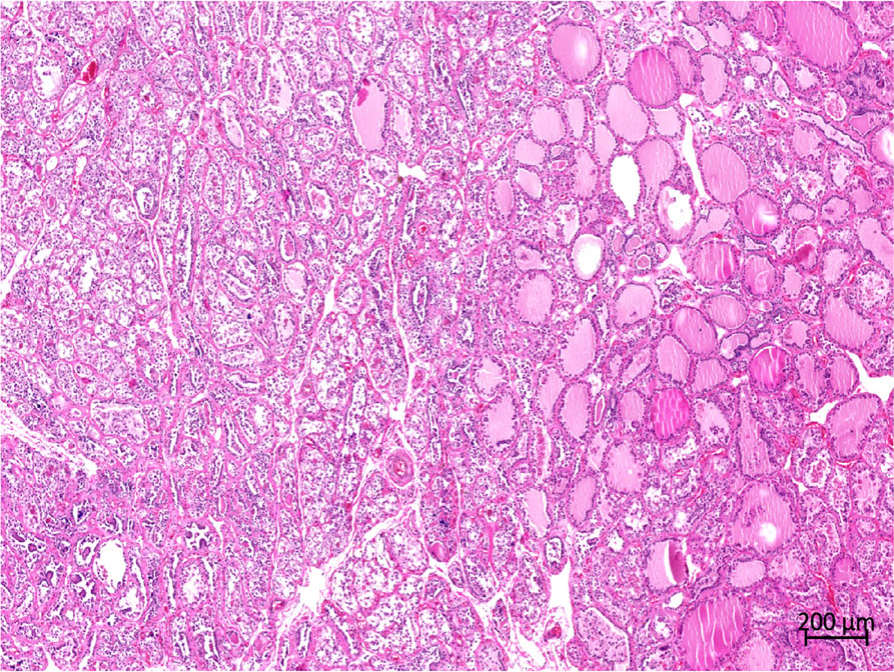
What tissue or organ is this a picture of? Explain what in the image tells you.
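Round follicles on the right are filled with homogeneous pink material. Follicles are lined by a single layer of cuboidal cells. That points to this answer: thyroid.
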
